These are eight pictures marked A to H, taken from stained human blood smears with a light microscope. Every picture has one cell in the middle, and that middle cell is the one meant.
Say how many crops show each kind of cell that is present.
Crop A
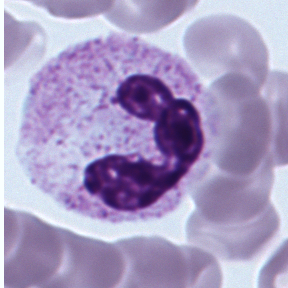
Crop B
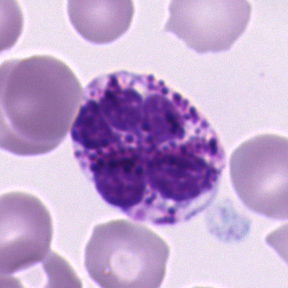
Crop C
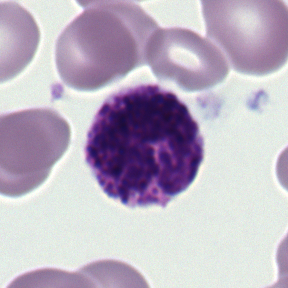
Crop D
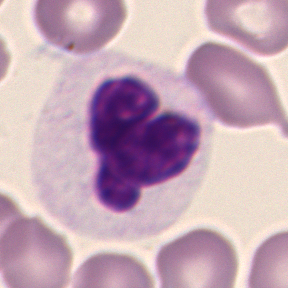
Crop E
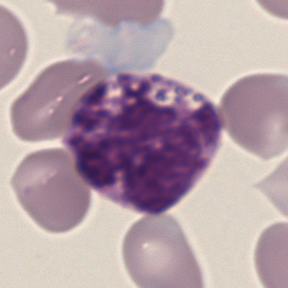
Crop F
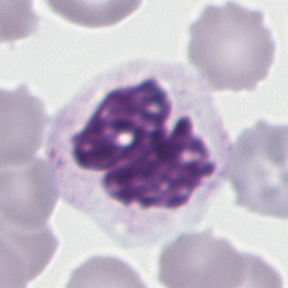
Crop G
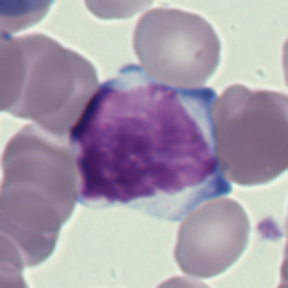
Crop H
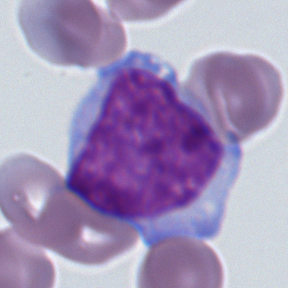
neutrophil: 3
basophil: 3
blast: 2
